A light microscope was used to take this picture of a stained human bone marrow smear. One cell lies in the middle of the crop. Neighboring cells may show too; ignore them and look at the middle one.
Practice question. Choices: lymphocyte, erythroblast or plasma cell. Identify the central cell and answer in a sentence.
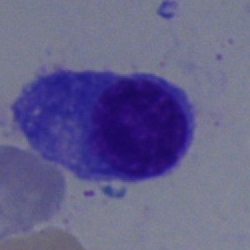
This crop is built around a plasma cell at its centre.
